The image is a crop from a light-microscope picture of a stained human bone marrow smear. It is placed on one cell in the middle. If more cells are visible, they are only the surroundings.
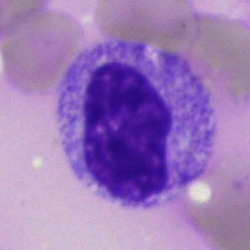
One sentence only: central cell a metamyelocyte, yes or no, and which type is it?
Yes, the cell that the crop is centered on is a metamyelocyte.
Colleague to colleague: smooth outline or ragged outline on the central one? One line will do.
If you check the edge, you will find it smooth without projections.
